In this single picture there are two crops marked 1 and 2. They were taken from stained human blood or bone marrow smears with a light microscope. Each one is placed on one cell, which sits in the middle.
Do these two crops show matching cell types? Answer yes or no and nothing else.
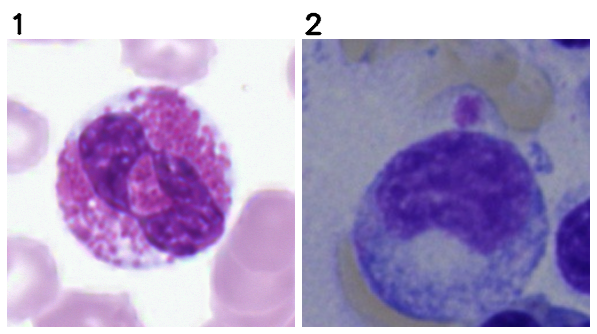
no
